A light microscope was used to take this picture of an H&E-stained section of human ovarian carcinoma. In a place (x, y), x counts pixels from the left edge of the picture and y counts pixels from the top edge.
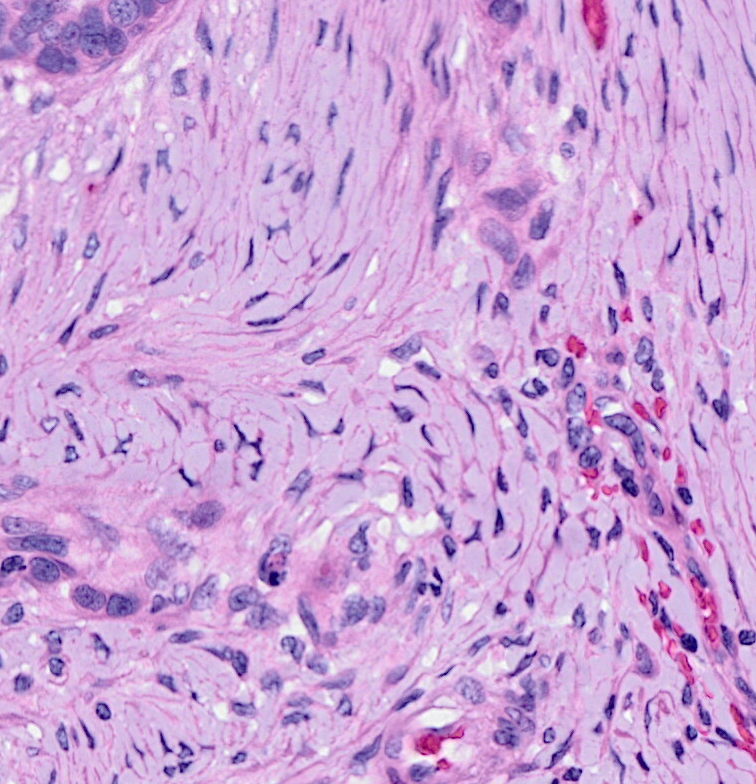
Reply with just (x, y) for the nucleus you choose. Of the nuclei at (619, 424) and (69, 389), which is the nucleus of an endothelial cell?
(619, 424)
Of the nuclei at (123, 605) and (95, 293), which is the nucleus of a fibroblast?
(95, 293)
